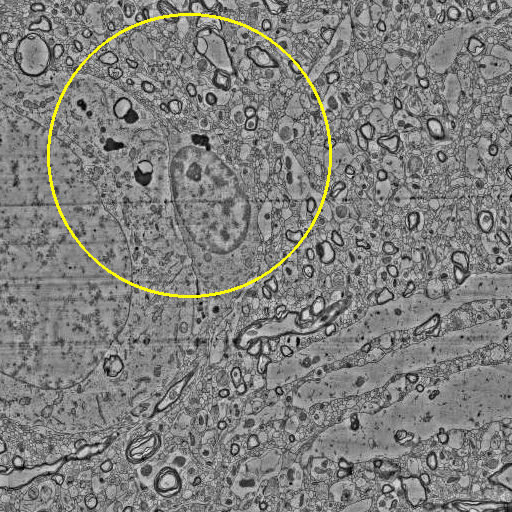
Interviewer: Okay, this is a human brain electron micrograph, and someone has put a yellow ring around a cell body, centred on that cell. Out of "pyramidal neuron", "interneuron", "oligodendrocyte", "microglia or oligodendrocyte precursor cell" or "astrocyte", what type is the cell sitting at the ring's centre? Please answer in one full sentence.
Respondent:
The cell at the centre of the yellow ring in this picture is an oligodendrocyte.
